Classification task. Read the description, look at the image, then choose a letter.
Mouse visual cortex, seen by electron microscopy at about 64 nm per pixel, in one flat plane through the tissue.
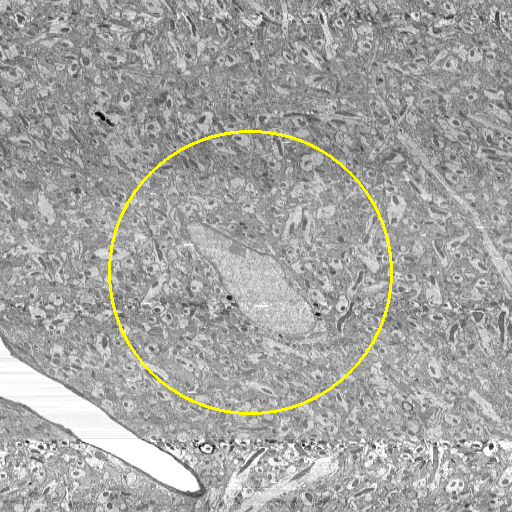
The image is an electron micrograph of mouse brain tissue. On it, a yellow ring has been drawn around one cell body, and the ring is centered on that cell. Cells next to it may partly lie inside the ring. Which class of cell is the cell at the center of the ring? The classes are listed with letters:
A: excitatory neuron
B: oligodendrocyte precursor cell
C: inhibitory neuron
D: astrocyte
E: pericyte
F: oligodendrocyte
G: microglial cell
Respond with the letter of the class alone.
D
